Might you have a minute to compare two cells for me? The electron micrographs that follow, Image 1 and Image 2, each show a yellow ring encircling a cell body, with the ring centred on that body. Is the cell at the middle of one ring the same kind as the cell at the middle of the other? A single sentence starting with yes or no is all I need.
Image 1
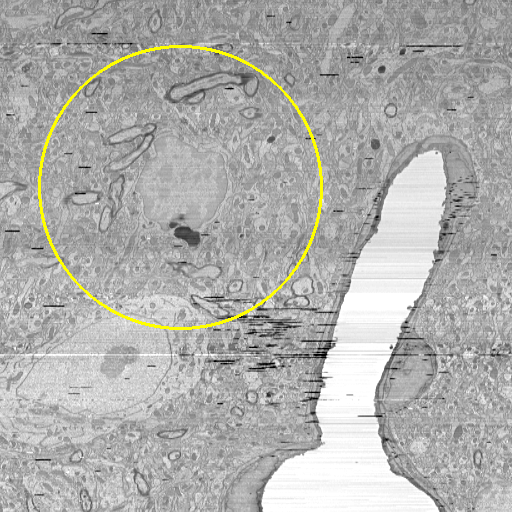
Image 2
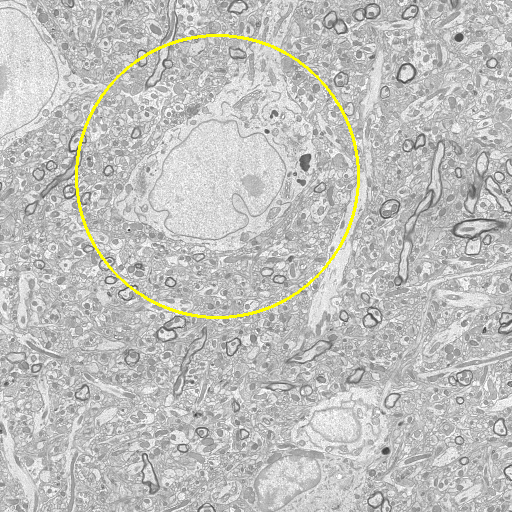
No, the cells in the middle of the two rings are of two separate kinds.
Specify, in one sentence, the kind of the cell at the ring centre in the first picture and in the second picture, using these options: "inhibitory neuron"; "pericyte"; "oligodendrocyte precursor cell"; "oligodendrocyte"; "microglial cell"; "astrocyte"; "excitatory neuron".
So the first is a microglial cell, the second an excitatory neuron.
